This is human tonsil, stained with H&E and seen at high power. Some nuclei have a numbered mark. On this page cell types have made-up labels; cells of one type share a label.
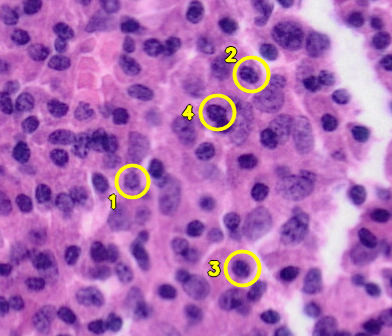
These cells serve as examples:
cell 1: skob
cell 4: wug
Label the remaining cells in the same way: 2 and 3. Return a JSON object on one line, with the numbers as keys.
{"2": "wug", "3": "wug"}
